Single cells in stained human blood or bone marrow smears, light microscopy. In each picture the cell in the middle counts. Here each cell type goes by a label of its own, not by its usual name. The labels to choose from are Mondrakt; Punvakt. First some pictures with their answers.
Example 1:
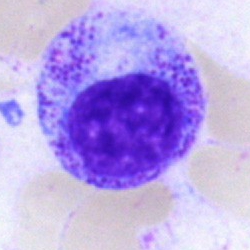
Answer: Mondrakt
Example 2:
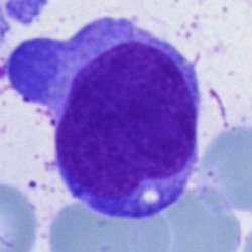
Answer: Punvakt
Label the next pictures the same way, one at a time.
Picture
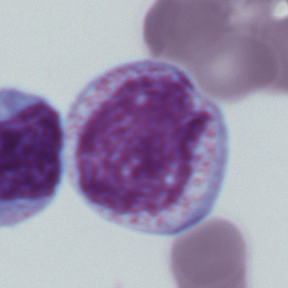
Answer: Mondrakt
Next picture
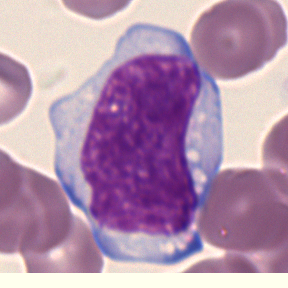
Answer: Punvakt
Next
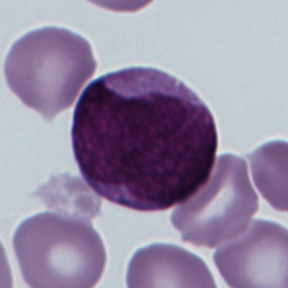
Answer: Punvakt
